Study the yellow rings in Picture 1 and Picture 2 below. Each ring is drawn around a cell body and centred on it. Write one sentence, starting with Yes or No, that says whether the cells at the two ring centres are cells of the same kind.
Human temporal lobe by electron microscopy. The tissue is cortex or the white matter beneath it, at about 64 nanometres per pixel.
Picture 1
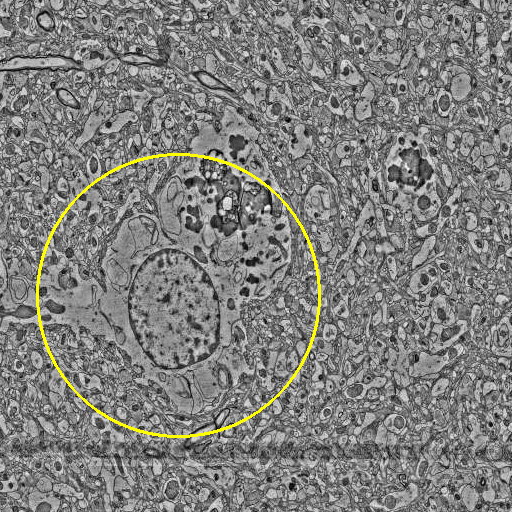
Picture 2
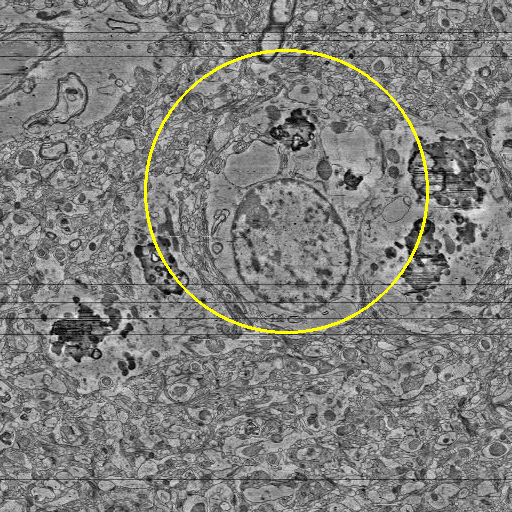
Yes, the cells at both ring centres are of the same kind.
